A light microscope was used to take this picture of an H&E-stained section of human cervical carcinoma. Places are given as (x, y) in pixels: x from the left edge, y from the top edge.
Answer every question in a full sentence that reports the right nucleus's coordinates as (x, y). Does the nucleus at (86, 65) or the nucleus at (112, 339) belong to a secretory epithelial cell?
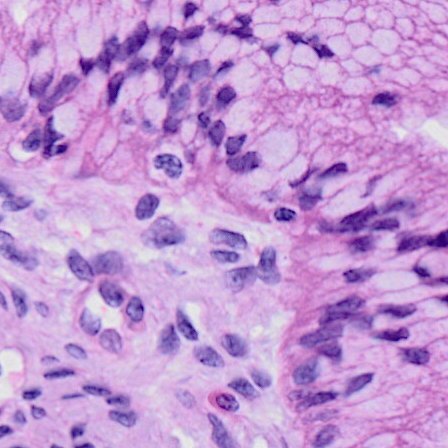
The nucleus of the pair that lies within a secretory epithelial cell is at (86, 65).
